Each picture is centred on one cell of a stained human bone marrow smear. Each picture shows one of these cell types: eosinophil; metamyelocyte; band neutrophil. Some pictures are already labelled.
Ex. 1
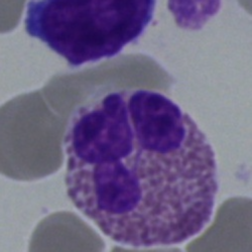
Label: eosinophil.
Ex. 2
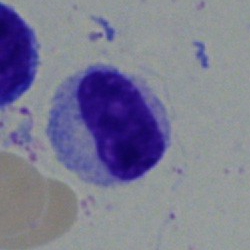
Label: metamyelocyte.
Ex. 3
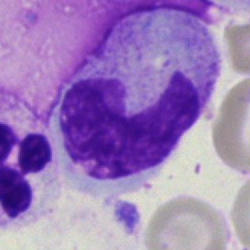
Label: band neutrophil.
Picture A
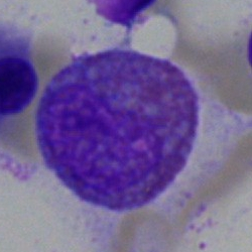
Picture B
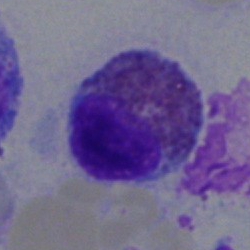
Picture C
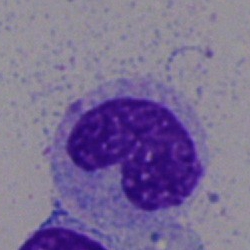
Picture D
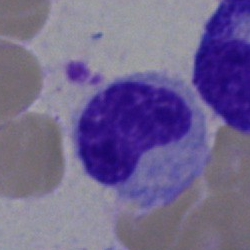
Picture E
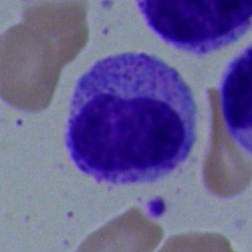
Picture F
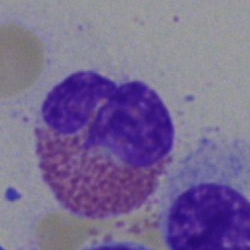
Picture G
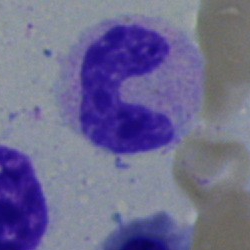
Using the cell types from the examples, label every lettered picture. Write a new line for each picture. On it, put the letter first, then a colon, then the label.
A: eosinophil.
B: eosinophil.
C: band neutrophil.
D: band neutrophil.
E: metamyelocyte.
F: eosinophil.
G: band neutrophil.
